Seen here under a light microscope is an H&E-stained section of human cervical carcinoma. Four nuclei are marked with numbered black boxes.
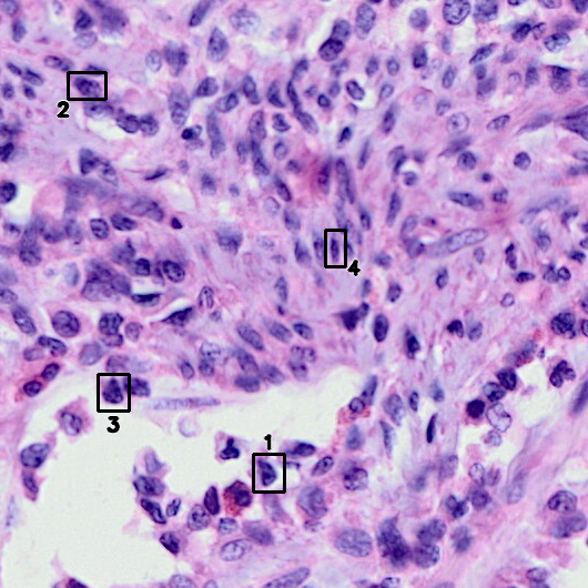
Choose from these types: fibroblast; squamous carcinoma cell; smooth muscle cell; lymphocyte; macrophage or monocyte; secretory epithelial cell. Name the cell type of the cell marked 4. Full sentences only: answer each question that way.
In the tissue shown, cell 4 is a fibroblast.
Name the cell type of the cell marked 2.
The nucleus with number 2 is that of a lymphocyte.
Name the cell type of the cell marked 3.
The numbered cell 3 is identified here as a lymphocyte.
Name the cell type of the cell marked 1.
Here the cell numbered 1 is a lymphocyte.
